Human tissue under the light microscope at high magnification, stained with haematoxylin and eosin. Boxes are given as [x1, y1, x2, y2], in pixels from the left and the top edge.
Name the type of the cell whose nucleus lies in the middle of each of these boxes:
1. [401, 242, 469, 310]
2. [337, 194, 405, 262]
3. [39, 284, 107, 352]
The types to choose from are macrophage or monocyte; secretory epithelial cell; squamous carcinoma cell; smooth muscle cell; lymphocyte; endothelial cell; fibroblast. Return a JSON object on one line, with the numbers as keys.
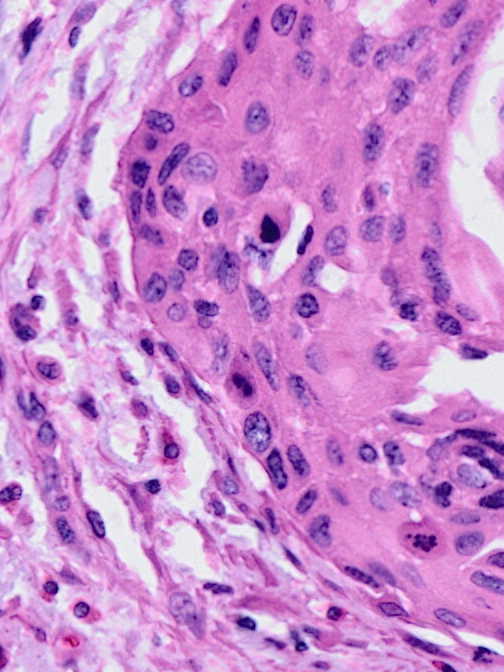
{"1": "squamous carcinoma cell", "2": "squamous carcinoma cell", "3": "fibroblast"}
